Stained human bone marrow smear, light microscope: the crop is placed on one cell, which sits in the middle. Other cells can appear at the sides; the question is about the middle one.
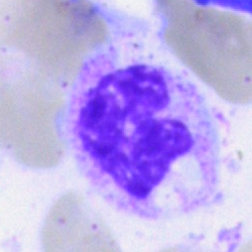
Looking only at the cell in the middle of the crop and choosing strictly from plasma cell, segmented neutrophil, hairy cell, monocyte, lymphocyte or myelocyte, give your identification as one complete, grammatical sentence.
The cell at the central position in this crop is a segmented neutrophil.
